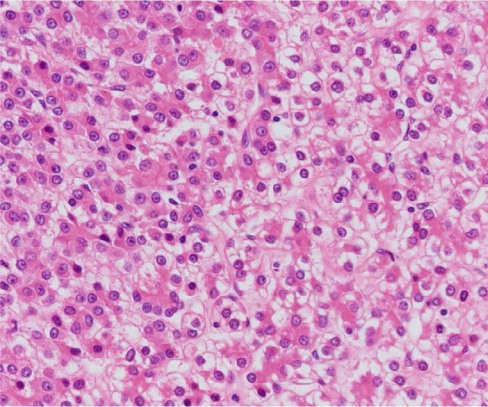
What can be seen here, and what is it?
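Tumor tissue of fairly uniform polygonal cells in a solid sheet, with a low ratio of nucleus to cytoplasm. Each cell has a small round central nucleus surrounded by wide cytoplasm that is clear in some cells and pink in others, giving a mottled light and dark pattern.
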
